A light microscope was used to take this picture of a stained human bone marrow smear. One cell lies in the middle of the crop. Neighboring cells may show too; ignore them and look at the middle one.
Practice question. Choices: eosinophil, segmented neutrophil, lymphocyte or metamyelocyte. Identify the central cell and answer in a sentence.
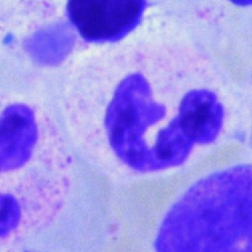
The cell in the exact centre of the crop is a segmented neutrophil.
